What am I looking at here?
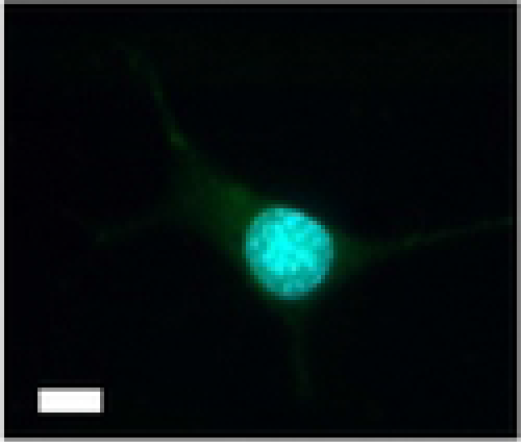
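A single cultured cell is shown with its oval nucleus at the centre, where the green and blue overlap to give a bright cyan, finely speckled appearance. Around the nucleus a faint green cell body spreads out into several long, thin processes that give the cell a star-like, branching outline. The green is clearly concentrated in the nucleus and only weakly present in the cytoplasm and processes. The nucleus looks smooth-edged and intact, with a mottled texture rather than uniform staining. The background is dark with no other cells in view.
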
